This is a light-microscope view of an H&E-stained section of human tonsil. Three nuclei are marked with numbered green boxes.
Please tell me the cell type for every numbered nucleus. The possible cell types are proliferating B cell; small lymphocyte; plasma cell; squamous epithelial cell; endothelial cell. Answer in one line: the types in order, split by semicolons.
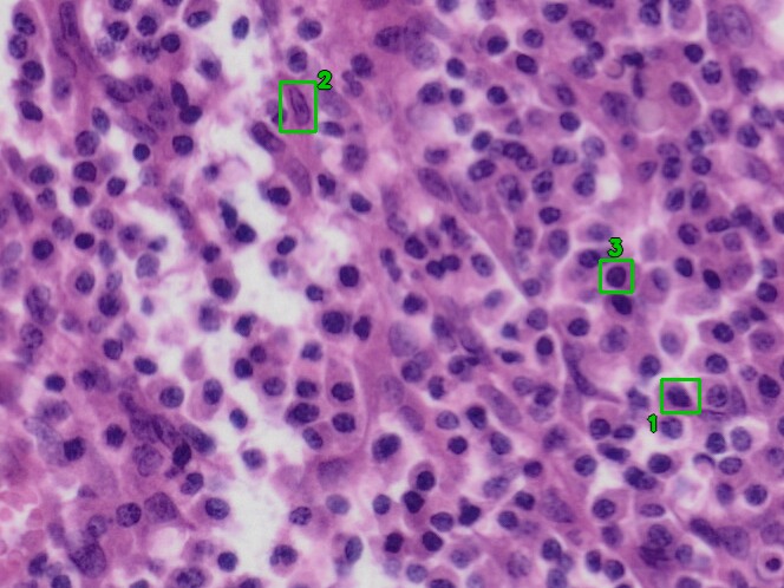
plasma cell; squamous epithelial cell; plasma cell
